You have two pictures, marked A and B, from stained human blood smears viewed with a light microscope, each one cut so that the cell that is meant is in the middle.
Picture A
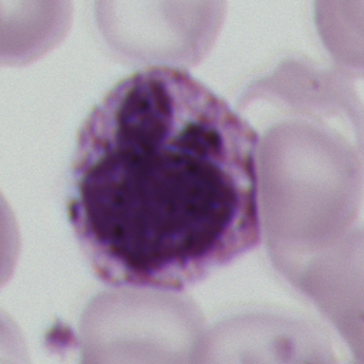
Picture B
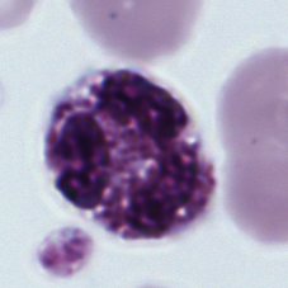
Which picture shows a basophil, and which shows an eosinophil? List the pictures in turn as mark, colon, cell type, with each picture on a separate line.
A: basophil
B: eosinophil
